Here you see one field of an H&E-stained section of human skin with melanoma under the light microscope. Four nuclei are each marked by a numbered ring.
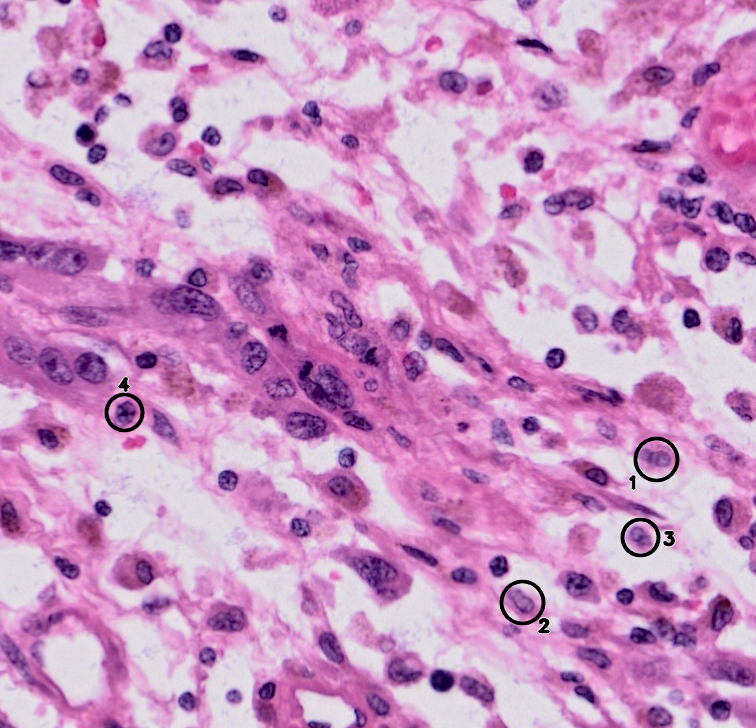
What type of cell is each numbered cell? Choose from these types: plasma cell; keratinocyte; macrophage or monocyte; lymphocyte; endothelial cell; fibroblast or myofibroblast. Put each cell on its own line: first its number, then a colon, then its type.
1: macrophage or monocyte
2: macrophage or monocyte
3: macrophage or monocyte
4: lymphocyte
